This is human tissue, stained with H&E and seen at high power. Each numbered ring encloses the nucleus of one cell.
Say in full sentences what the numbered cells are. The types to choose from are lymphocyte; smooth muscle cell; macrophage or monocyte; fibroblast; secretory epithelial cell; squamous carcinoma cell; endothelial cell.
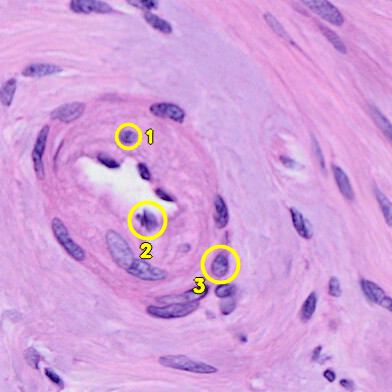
Cells 1 and 3 are smooth muscle cells. Cell 2 is an endothelial cell.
